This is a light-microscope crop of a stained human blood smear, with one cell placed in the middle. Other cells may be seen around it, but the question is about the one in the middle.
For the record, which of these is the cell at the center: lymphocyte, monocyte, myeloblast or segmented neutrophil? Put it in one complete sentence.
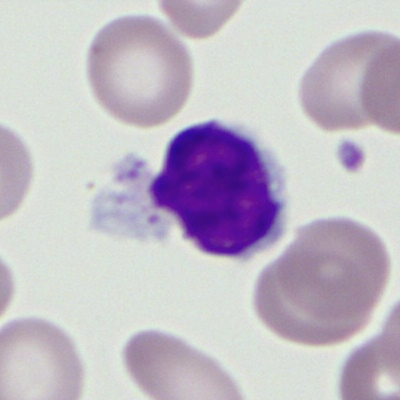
The middle position in this crop is taken by a lymphocyte.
